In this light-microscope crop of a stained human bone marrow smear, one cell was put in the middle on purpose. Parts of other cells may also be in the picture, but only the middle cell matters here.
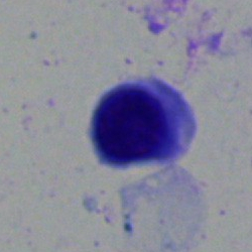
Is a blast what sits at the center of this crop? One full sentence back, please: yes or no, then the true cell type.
No, the middle of this crop is occupied by a normoblast rather than a blast.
